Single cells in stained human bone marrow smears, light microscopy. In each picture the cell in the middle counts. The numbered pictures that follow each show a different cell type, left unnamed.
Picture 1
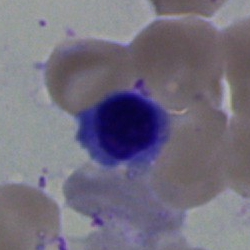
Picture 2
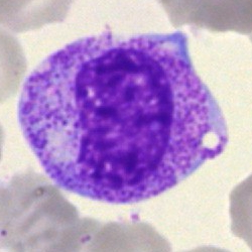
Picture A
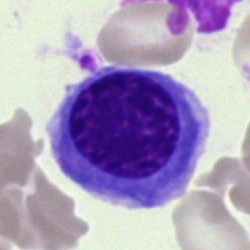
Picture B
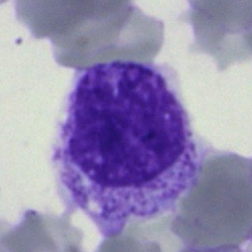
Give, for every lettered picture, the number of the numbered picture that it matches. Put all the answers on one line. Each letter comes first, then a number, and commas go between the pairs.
A 1, B 2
